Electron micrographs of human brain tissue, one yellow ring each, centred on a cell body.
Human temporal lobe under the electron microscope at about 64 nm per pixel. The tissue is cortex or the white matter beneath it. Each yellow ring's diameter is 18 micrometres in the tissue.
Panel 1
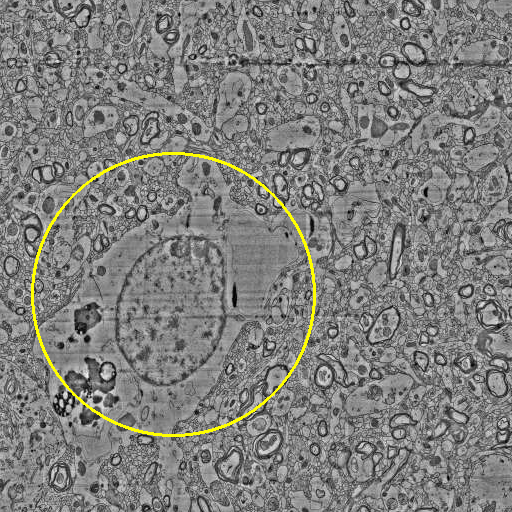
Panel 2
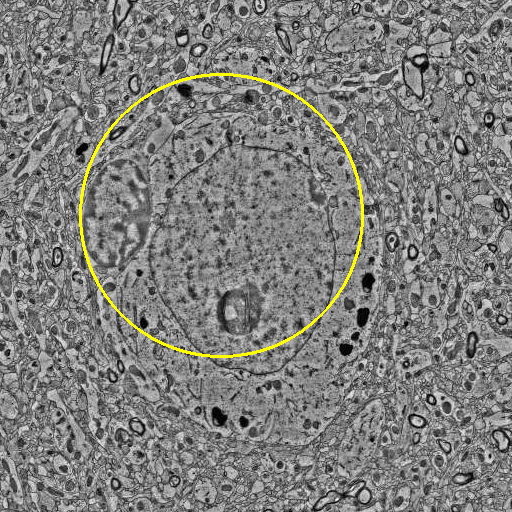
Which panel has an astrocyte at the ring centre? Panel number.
1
